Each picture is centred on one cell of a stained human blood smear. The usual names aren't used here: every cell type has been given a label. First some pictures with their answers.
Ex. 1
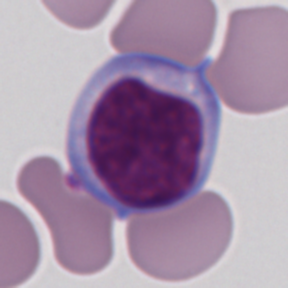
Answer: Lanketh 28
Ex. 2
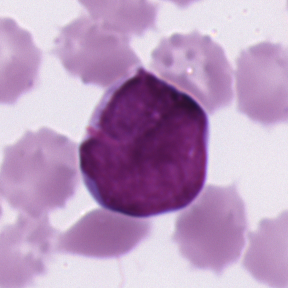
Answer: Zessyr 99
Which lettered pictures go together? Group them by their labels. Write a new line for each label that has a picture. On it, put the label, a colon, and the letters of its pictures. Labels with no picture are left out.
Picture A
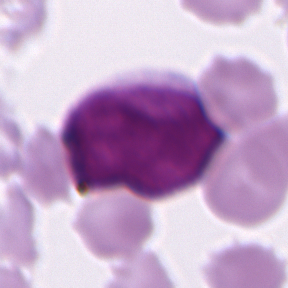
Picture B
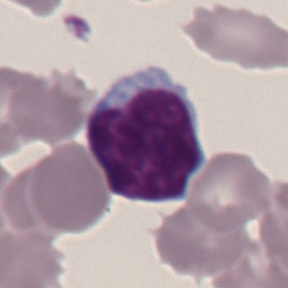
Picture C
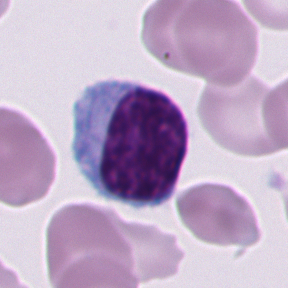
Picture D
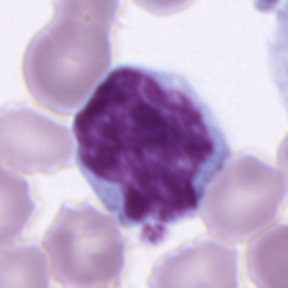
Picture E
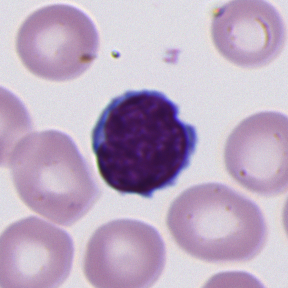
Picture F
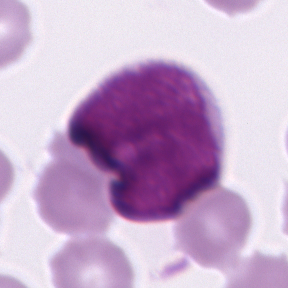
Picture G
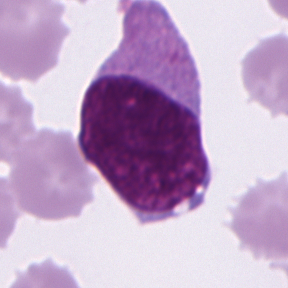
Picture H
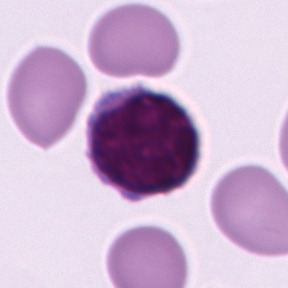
Lanketh 28: B, C, D, E, H
Zessyr 99: A, F, G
